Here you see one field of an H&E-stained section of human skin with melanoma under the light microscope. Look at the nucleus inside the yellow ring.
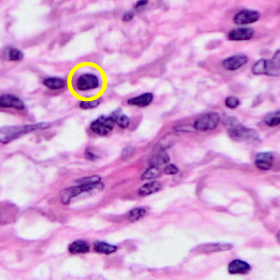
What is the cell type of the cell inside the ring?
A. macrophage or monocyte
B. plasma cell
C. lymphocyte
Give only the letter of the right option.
B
